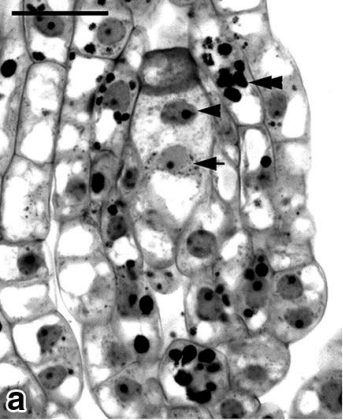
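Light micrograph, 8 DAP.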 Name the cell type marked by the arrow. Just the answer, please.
Zygote.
